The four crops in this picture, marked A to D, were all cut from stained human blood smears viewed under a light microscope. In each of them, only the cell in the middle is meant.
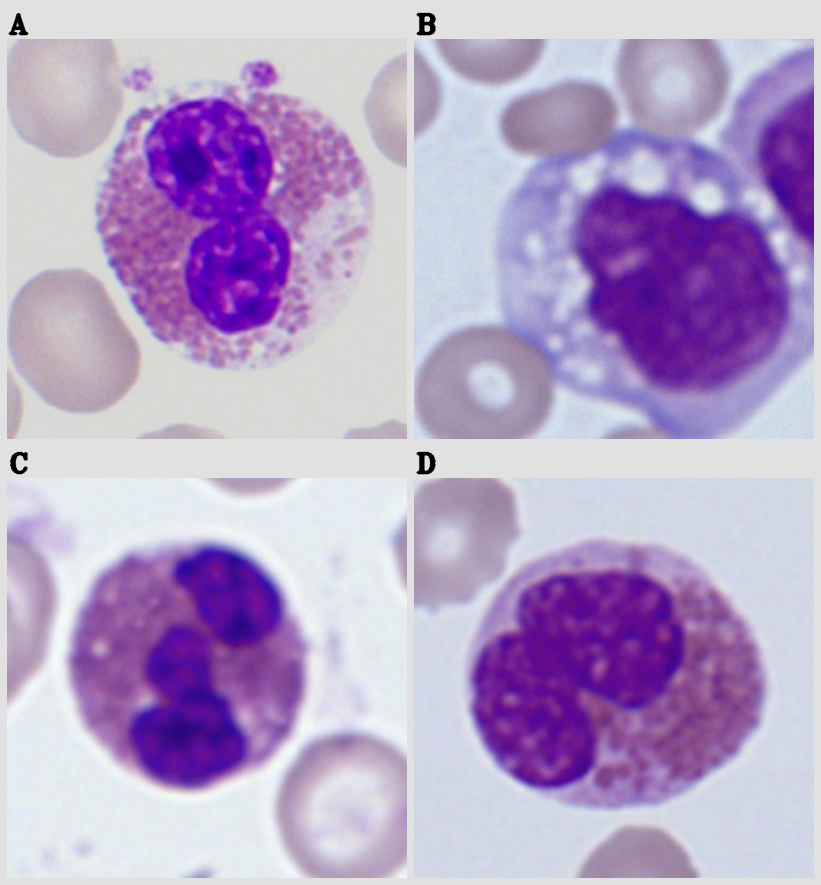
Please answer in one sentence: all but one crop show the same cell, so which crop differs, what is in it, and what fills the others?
Unlike the other crops, all showing eosinophils, crop B is a monocyte.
